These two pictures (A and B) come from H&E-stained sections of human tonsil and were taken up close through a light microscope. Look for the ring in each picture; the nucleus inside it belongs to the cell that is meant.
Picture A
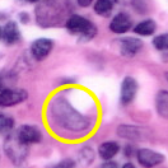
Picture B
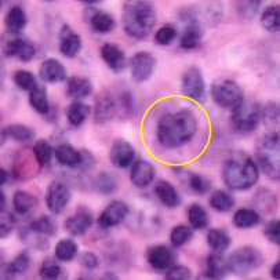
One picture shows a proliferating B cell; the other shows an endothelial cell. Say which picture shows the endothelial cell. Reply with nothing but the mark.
A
